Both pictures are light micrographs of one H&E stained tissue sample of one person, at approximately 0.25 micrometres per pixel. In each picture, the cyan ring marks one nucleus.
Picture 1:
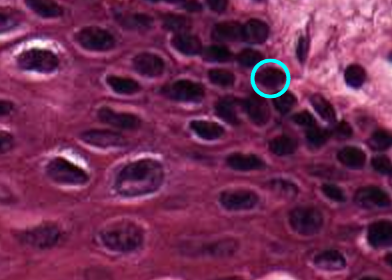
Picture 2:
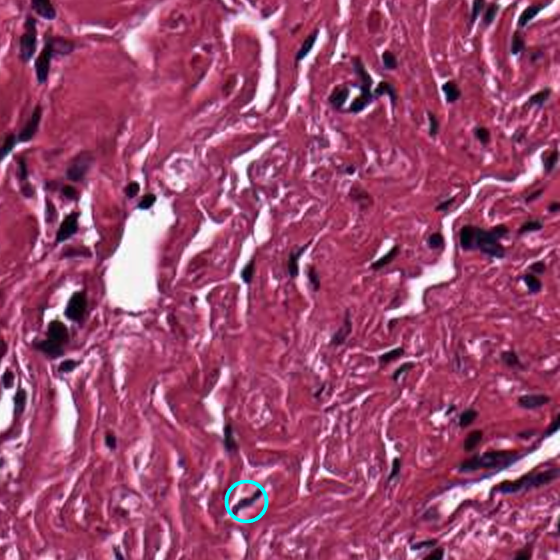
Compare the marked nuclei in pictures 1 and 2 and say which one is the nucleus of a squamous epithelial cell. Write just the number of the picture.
1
